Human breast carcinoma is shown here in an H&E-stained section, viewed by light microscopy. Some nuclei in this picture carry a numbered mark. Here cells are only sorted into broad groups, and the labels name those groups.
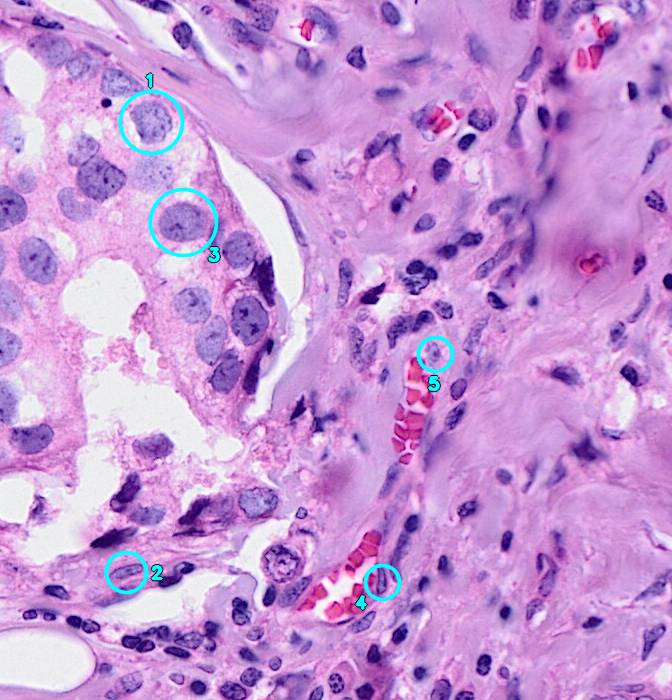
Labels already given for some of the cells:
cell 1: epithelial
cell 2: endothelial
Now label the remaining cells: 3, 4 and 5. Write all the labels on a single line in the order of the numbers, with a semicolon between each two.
epithelial; endothelial; endothelial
